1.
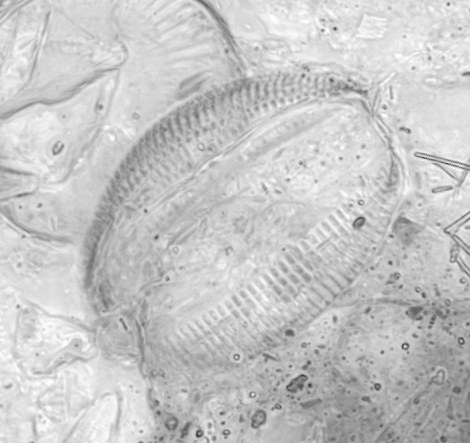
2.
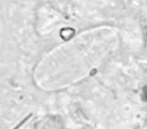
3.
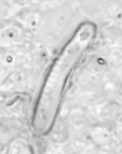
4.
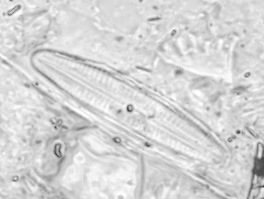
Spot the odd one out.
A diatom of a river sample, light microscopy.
Picture 1 (Amphora among Achnanthidium).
